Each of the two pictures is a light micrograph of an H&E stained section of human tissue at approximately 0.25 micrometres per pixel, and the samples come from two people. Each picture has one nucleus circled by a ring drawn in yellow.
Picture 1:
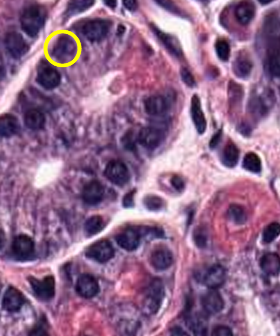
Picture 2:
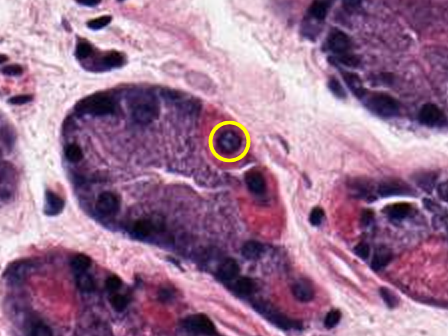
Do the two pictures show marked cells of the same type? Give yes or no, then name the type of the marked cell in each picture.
No, the first is a chief cell and the second a parietal cell.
